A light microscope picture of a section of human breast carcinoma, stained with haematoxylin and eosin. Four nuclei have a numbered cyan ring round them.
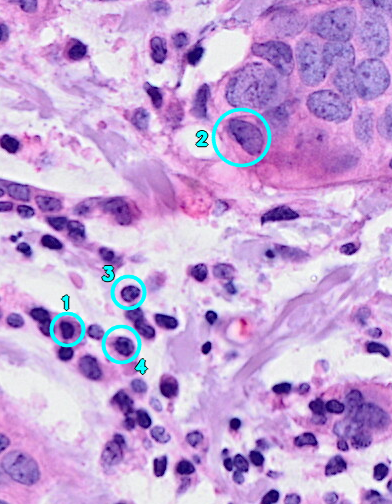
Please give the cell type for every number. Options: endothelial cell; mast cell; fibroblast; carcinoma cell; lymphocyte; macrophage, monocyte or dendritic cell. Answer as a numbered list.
1. lymphocyte
2. carcinoma cell
3. lymphocyte
4. lymphocyte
